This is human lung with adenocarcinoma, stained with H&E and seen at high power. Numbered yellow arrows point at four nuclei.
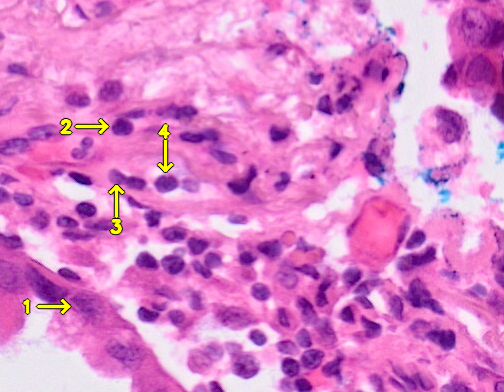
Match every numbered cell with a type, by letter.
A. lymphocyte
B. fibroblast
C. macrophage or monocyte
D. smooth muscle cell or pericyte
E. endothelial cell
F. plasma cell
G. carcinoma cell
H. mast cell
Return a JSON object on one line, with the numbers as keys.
{"1": "G", "2": "A", "3": "A", "4": "A"}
